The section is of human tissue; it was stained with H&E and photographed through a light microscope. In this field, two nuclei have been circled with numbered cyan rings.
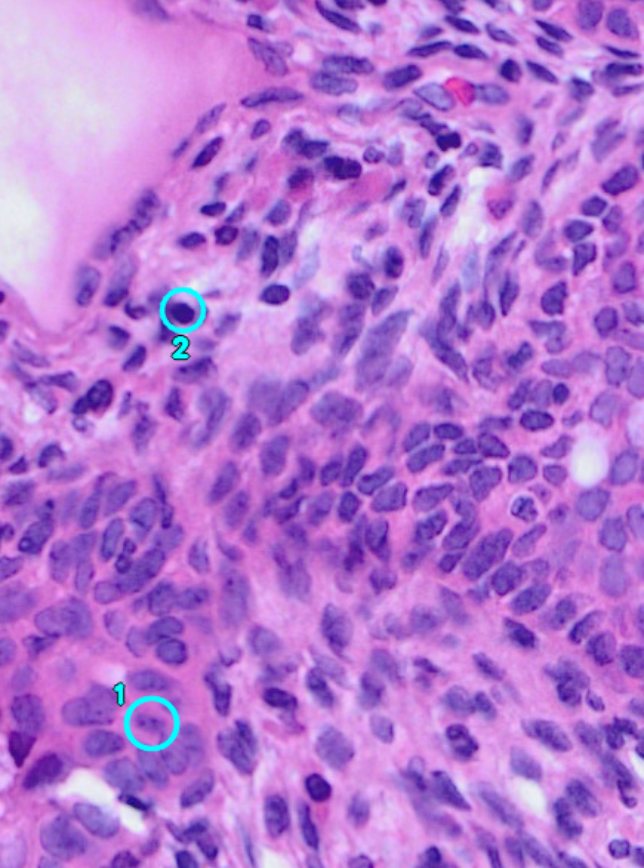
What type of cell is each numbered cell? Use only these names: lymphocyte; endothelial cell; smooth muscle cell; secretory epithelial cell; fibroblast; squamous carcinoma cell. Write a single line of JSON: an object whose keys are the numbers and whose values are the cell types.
{"1": "secretory epithelial cell", "2": "lymphocyte"}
